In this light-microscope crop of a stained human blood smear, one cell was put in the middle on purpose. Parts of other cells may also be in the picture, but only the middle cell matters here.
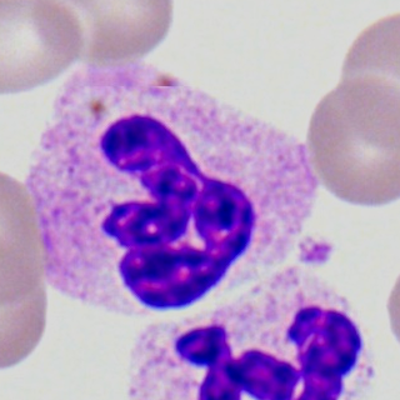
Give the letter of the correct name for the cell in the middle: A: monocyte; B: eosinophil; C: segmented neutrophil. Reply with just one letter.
C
